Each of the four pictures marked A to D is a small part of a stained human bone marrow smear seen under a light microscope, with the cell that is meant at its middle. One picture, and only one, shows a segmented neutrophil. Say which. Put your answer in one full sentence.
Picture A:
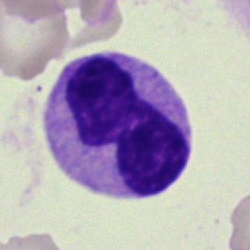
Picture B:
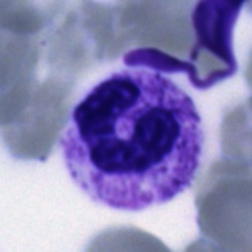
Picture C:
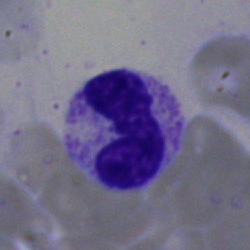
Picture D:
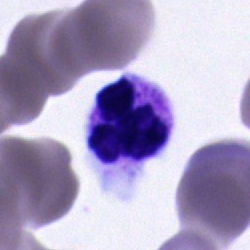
It is picture D that shows the segmented neutrophil.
